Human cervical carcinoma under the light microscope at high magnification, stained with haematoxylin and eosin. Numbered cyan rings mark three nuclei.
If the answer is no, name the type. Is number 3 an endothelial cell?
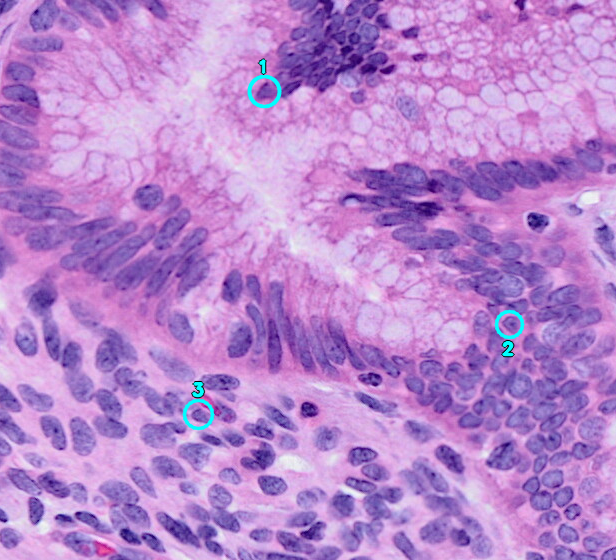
Yes.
